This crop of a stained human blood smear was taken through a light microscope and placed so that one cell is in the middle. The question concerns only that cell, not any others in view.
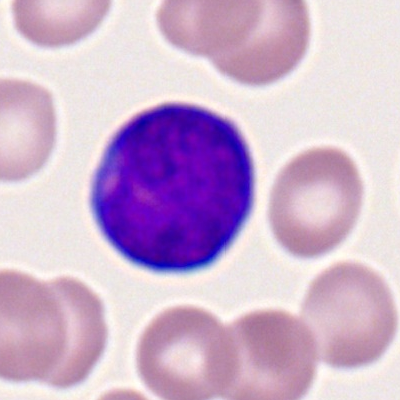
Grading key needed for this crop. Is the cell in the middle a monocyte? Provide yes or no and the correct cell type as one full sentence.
No, the cell at the centre is a myeloblast, which rules out a monocyte.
